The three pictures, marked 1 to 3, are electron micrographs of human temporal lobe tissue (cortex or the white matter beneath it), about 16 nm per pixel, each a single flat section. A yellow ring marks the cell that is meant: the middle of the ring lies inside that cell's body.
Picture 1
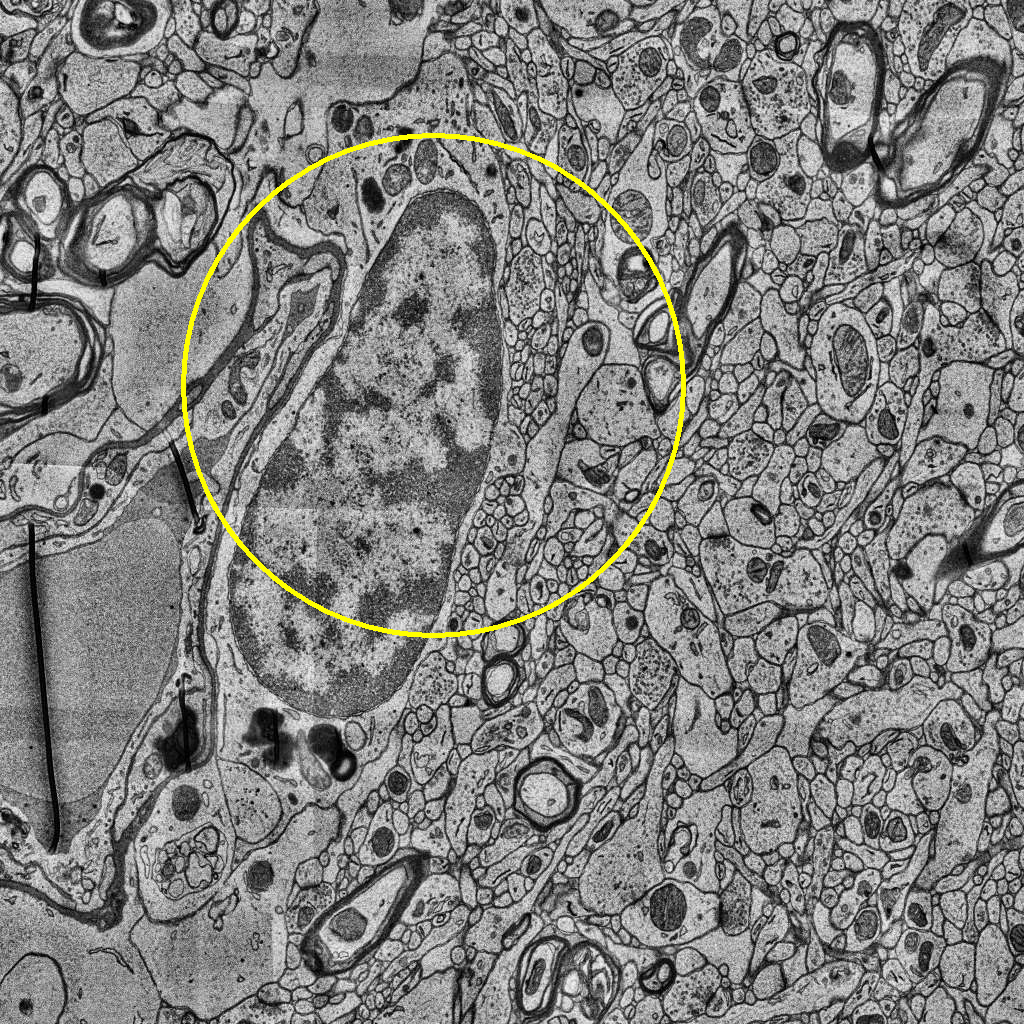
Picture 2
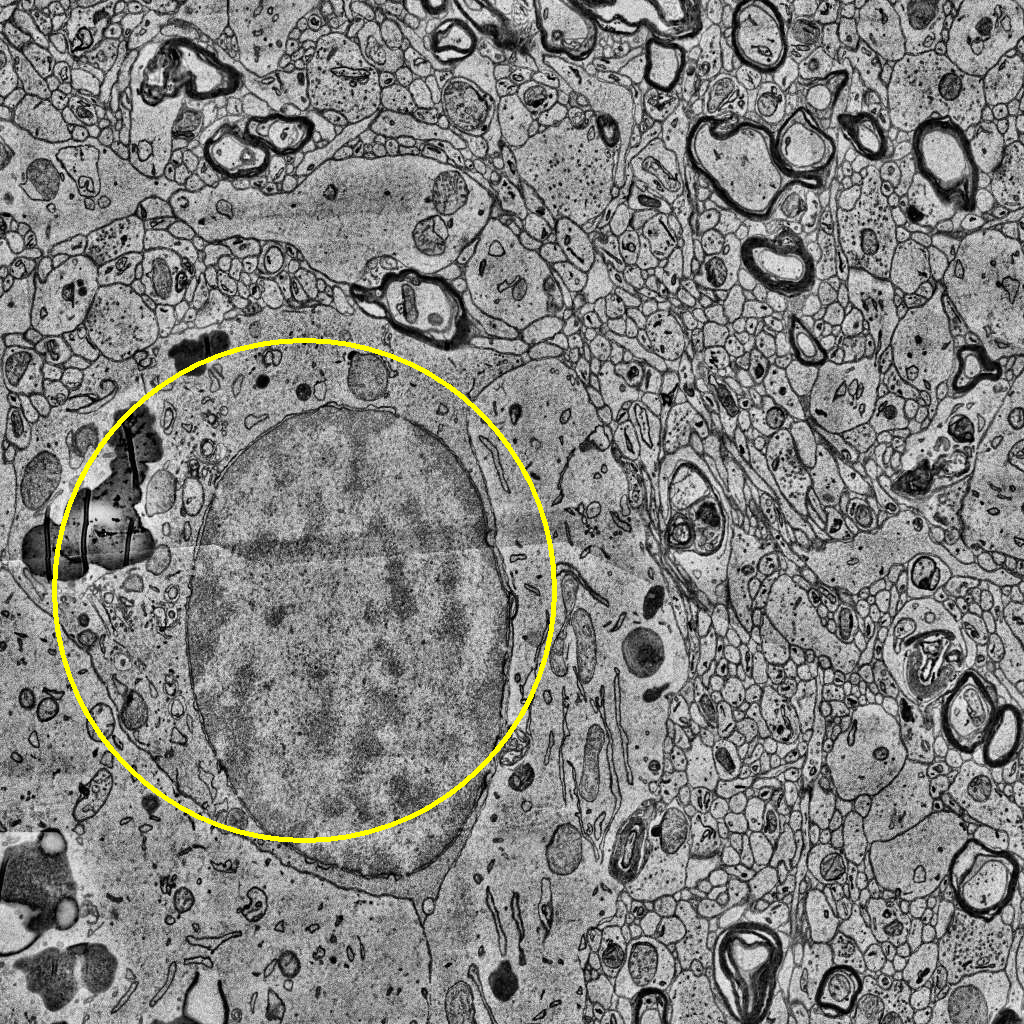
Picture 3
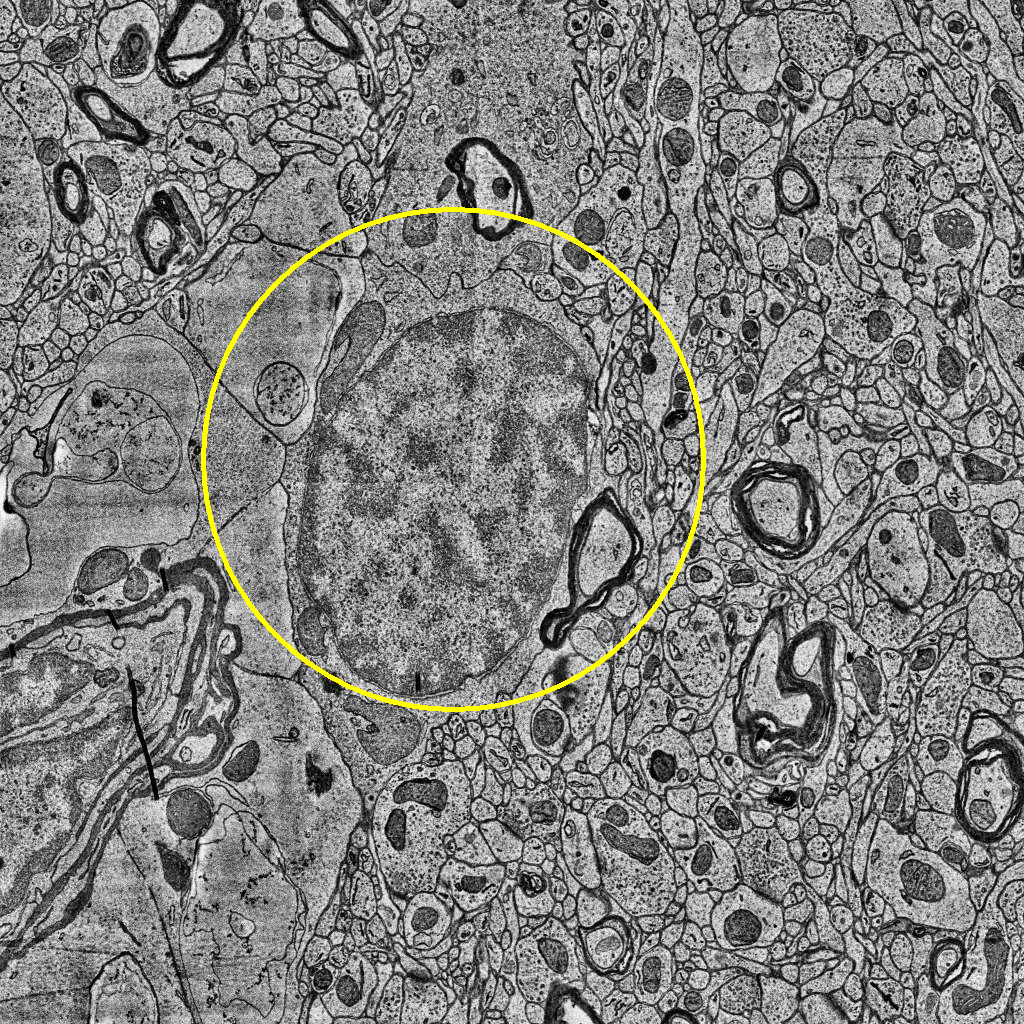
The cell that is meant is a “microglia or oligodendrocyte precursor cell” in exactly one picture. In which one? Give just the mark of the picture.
1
